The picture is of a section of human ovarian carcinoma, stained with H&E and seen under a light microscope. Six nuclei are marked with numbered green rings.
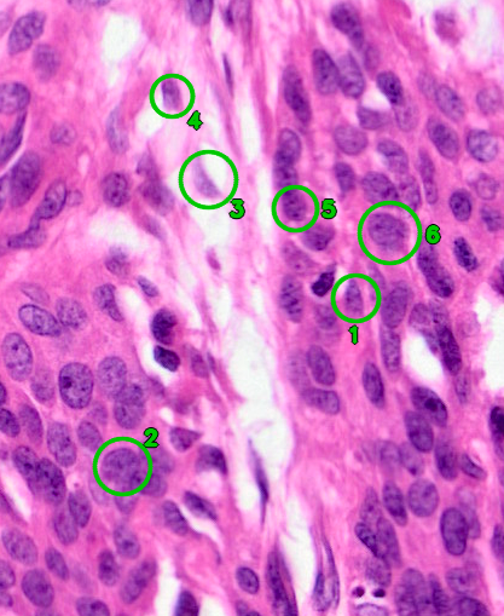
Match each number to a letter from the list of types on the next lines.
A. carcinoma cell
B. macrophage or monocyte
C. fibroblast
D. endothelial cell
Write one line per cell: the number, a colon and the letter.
1: A
2: A
3: C
4: C
5: A
6: A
